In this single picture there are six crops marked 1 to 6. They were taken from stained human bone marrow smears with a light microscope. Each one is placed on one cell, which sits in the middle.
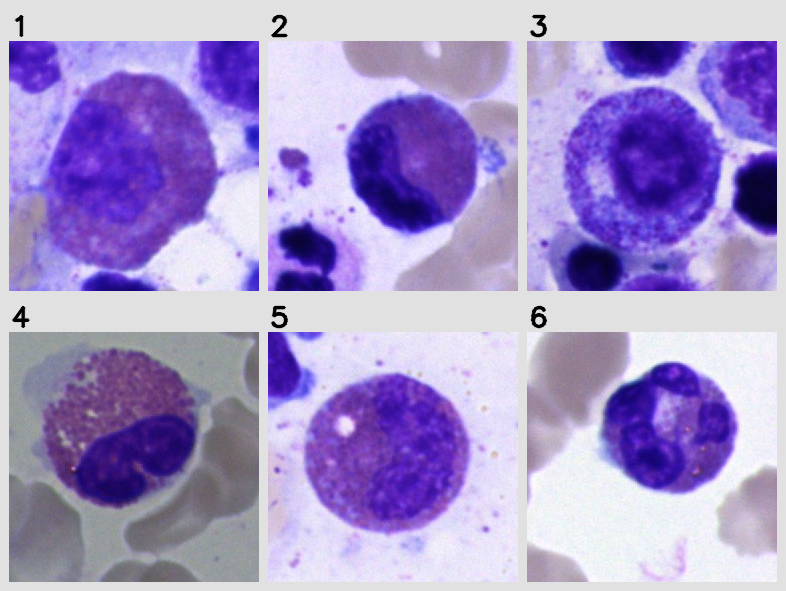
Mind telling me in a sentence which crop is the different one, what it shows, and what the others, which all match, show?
Crop 3 alone is a promyelocyte, and the other crops are all eosinophils.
